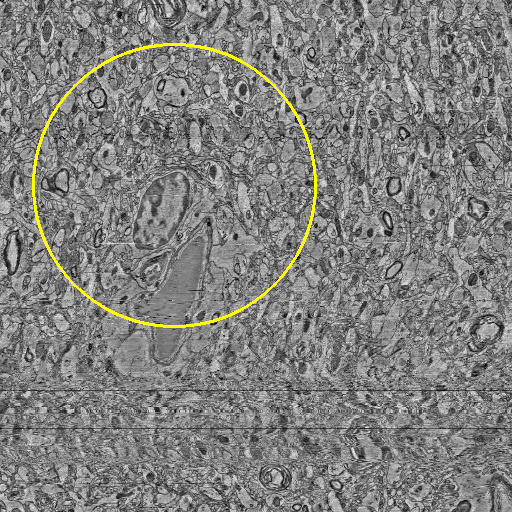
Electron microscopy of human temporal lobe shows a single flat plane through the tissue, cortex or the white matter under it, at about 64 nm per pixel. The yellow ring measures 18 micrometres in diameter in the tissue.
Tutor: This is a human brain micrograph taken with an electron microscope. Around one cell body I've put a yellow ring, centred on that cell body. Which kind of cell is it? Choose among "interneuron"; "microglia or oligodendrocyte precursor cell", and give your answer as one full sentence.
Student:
Going by your list, the cell centred in the yellow ring is a microglial cell or oligodendrocyte precursor cell.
